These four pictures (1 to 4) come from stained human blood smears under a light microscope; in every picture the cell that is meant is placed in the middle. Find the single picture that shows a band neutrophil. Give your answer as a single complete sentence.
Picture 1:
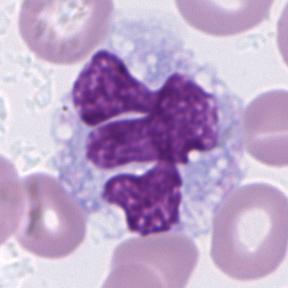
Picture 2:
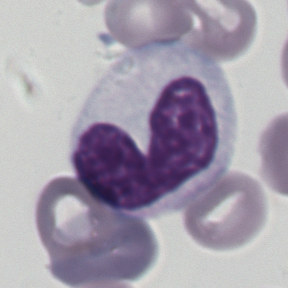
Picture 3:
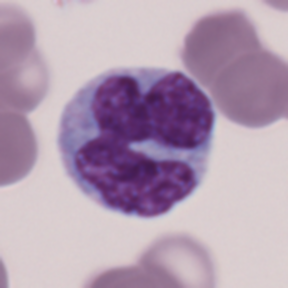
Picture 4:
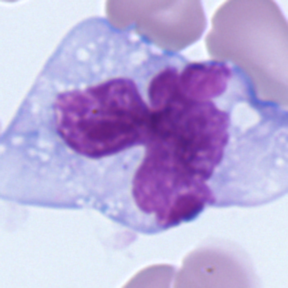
It is picture 2 that shows the band neutrophil.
